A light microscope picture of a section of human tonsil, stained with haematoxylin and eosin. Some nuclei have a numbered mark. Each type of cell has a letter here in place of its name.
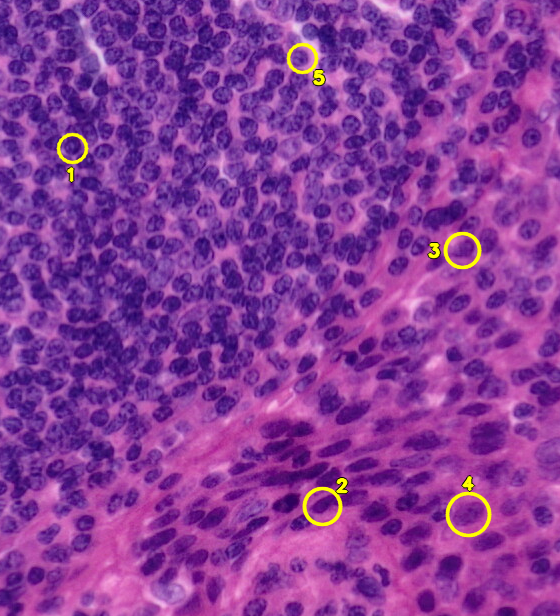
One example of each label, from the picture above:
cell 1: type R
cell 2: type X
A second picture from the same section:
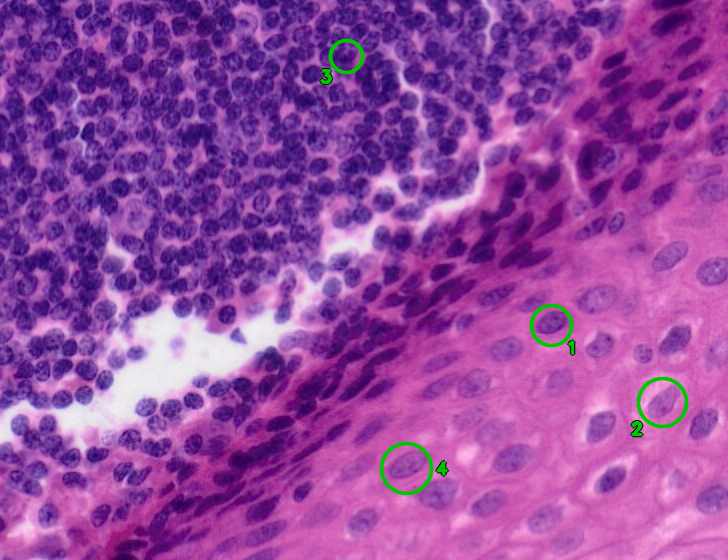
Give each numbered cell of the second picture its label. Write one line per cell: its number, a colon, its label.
1: type X
2: type X
3: type R
4: type X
